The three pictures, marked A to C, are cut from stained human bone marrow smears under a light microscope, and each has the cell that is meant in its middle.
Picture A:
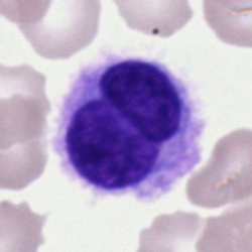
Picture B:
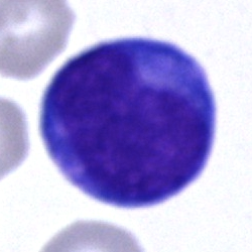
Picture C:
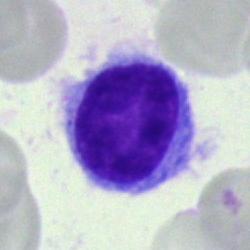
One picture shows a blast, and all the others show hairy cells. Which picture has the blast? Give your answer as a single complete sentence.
Picture B shows the blast.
